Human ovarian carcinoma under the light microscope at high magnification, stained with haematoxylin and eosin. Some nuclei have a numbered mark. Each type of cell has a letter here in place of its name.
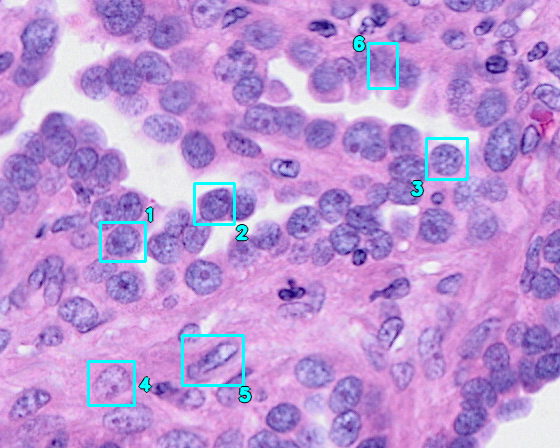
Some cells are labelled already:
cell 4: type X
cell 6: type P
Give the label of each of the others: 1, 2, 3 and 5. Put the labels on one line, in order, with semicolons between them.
type P; type P; type P; type X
